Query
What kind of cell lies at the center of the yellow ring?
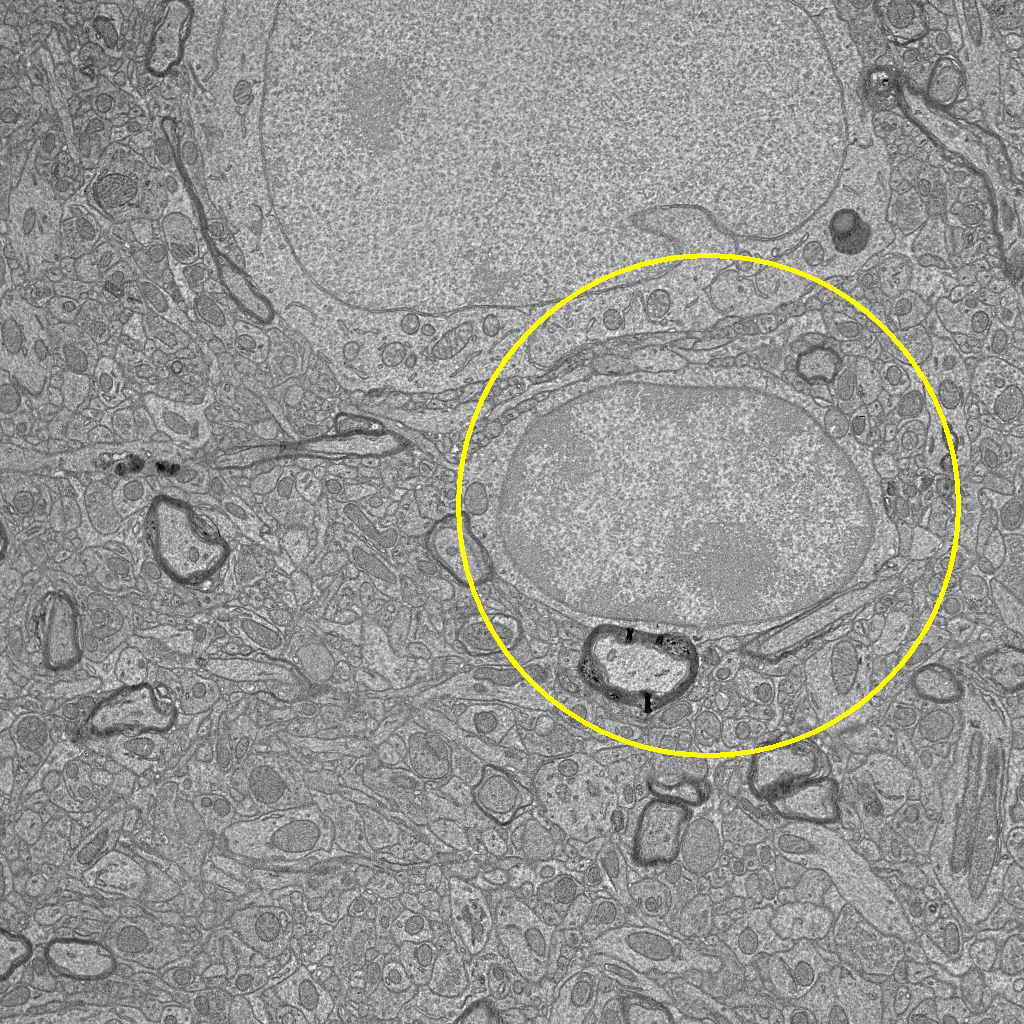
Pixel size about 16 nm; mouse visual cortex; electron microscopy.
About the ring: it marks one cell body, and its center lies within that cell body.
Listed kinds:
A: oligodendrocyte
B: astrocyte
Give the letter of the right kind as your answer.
A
